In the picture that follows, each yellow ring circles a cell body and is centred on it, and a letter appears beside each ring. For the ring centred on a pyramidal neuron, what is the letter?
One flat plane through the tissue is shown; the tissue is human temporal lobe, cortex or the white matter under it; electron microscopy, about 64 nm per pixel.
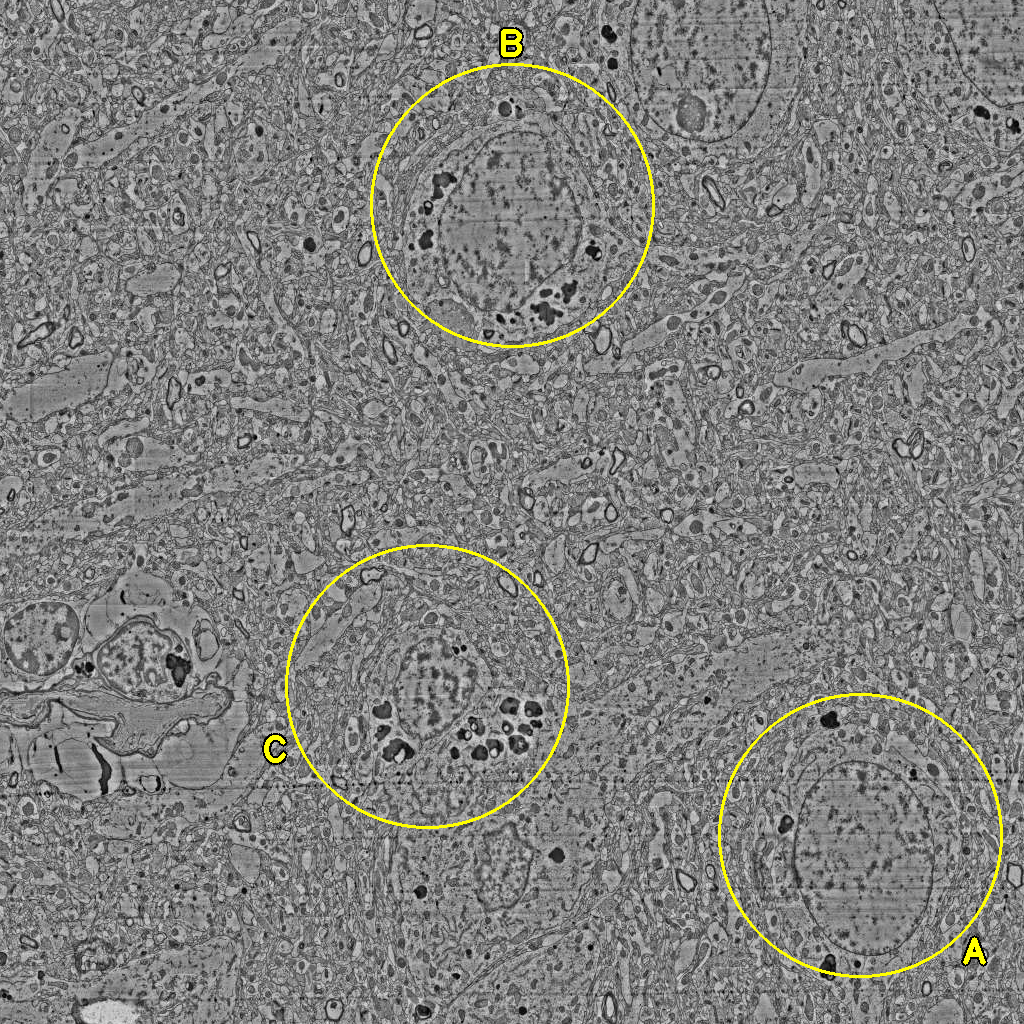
A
